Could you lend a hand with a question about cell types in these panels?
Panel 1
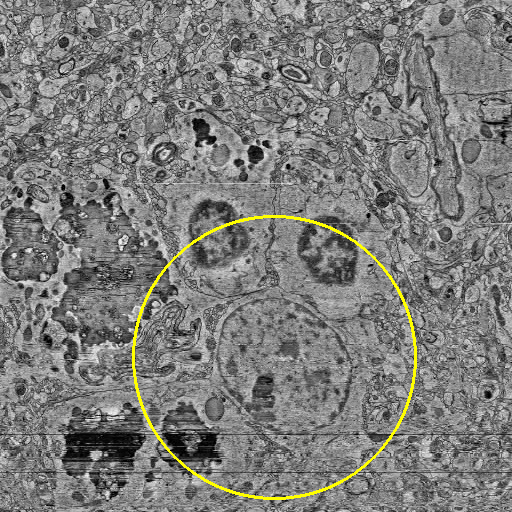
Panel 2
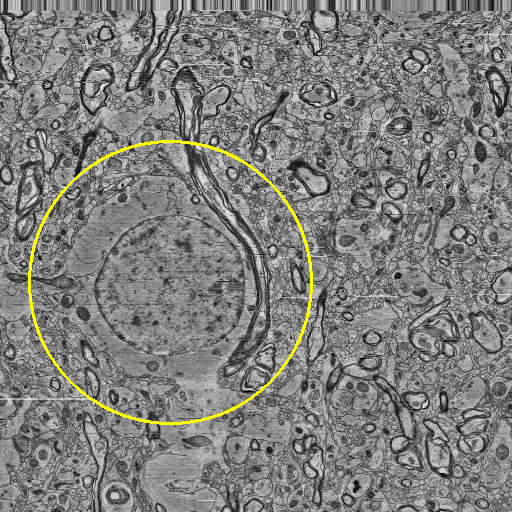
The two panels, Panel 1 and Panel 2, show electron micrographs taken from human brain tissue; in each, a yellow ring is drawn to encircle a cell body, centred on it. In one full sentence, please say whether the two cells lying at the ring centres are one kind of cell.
Yes, the cells at the ring centres in the two panels are one kind of cell.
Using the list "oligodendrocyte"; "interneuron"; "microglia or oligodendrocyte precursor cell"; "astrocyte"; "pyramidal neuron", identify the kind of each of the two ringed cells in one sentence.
Both the first and the second picture show an astrocyte in the ring.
